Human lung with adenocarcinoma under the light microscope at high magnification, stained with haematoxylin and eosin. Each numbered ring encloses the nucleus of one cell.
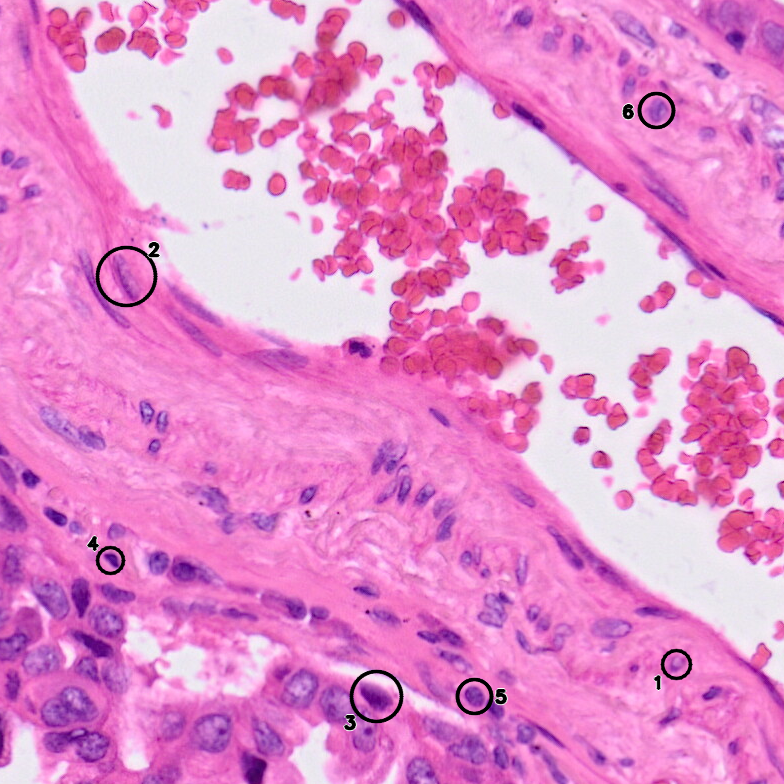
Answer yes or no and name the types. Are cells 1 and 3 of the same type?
No, cell 1 is a smooth muscle cell or pericyte and cell 3 is a carcinoma cell.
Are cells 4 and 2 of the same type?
No, cell 4 is a lymphocyte and cell 2 is a smooth muscle cell or pericyte.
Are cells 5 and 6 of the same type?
No, cell 5 is a lymphocyte and cell 6 is a smooth muscle cell or pericyte.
